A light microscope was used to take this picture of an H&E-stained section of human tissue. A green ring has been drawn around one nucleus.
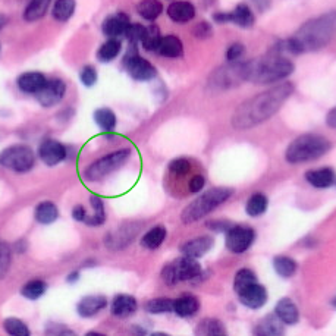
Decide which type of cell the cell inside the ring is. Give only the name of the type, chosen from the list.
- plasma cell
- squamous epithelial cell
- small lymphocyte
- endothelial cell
endothelial cell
